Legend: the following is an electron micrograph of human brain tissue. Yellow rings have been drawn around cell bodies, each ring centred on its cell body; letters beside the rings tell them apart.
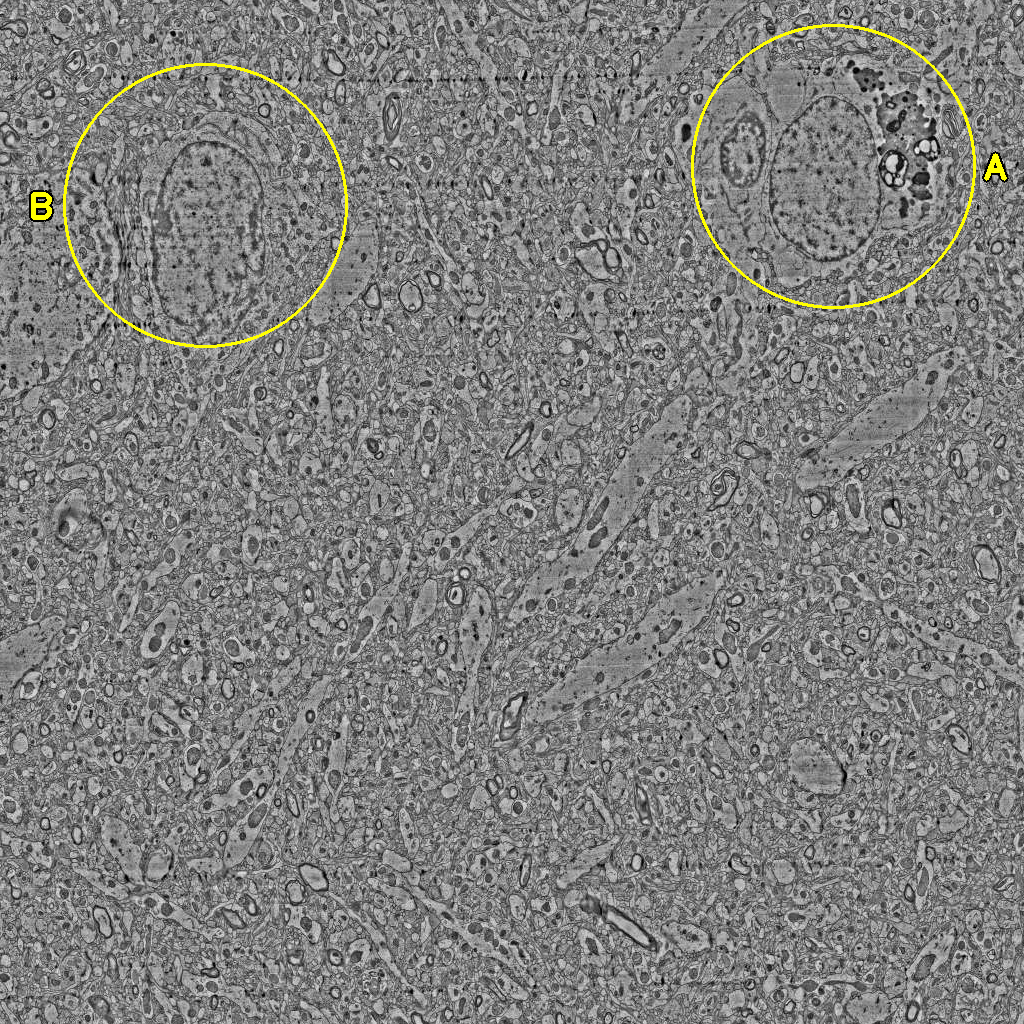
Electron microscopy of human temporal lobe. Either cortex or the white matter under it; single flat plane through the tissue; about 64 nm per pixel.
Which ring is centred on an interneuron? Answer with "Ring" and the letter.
Ring B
